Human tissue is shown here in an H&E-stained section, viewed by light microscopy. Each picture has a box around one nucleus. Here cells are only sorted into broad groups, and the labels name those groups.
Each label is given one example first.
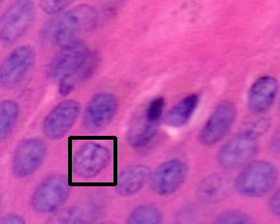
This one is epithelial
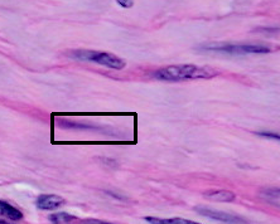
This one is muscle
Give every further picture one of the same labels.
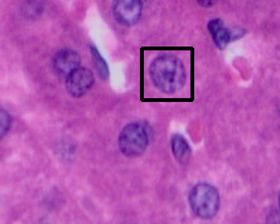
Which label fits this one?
epithelial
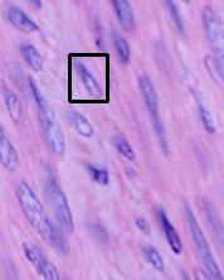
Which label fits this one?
muscle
